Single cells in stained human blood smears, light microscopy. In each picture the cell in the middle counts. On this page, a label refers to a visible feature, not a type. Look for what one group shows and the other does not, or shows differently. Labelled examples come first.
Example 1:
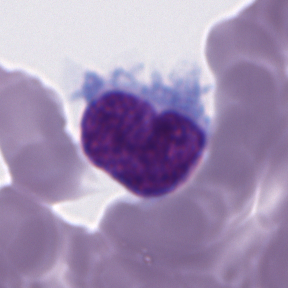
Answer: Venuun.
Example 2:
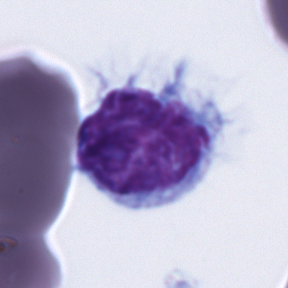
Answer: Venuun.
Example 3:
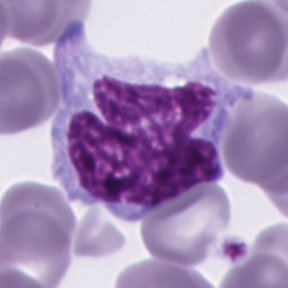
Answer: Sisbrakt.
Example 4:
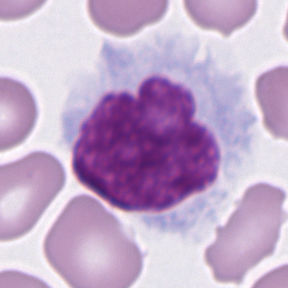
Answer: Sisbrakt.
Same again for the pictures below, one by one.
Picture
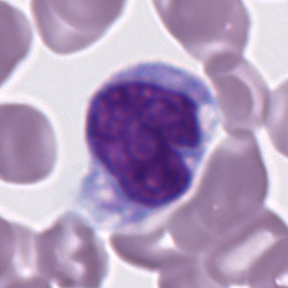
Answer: Venuun.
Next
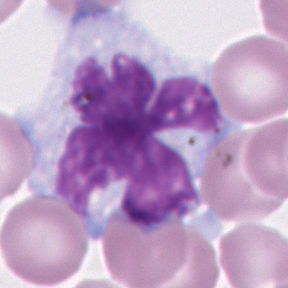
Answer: Sisbrakt.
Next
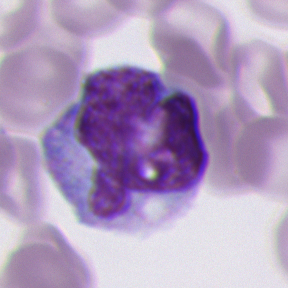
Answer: Venuun.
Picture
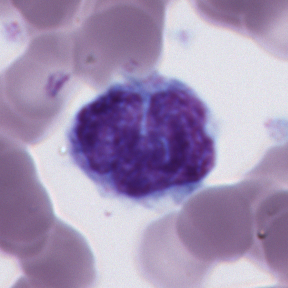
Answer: Venuun.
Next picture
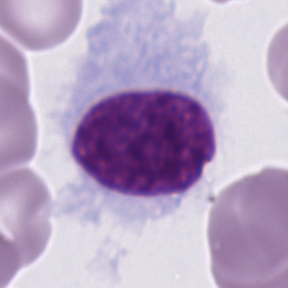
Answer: Sisbrakt.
